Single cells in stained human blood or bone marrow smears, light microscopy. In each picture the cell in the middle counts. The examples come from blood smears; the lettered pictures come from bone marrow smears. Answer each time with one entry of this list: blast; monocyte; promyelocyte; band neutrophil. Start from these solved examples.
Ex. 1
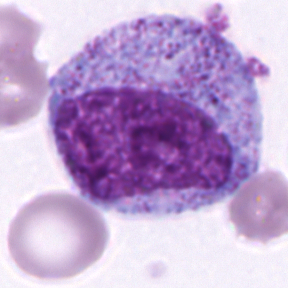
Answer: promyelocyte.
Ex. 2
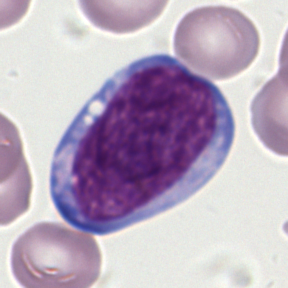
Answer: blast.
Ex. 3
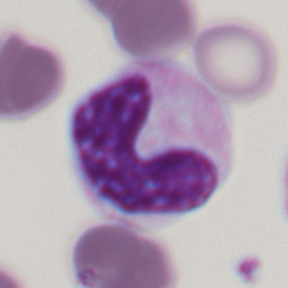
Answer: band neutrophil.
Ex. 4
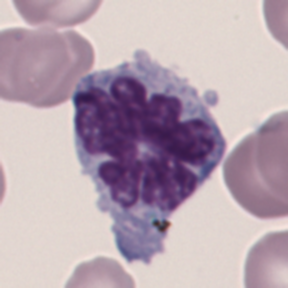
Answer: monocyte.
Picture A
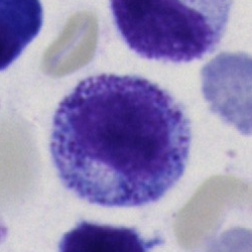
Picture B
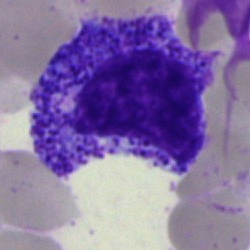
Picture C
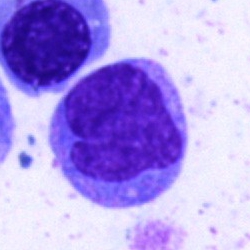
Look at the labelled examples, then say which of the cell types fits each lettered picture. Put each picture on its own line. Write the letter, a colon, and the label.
A: promyelocyte.
B: promyelocyte.
C: monocyte.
